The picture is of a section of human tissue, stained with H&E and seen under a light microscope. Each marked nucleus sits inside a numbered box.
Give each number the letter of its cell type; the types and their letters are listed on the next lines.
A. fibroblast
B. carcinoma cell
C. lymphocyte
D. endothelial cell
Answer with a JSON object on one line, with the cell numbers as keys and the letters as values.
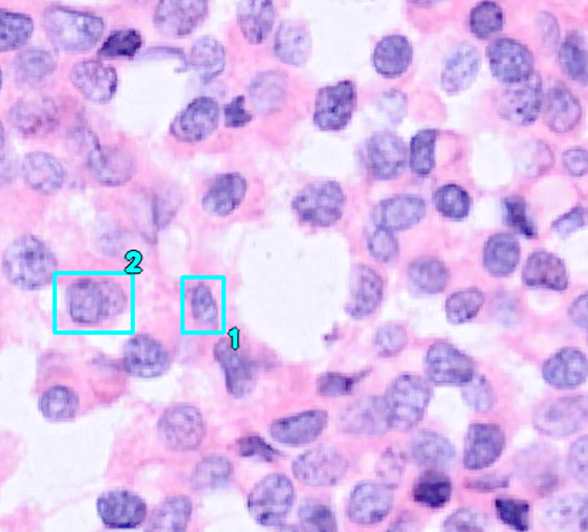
{"1": "D", "2": "B"}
